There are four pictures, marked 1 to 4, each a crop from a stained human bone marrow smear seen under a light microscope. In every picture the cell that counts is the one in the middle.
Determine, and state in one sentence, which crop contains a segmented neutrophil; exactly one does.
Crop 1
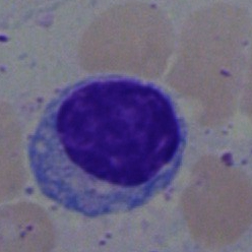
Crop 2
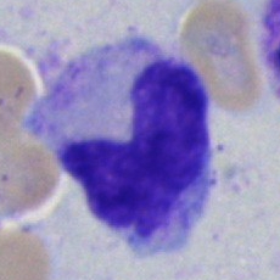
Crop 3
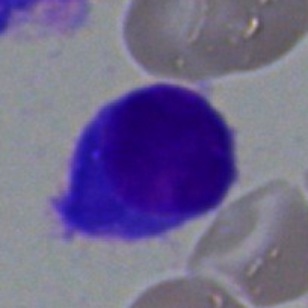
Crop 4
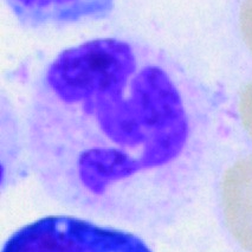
It is crop 4, not any other, that shows a segmented neutrophil.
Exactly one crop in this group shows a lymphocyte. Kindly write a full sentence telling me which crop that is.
On review of the set, crop 1 is the one showing a lymphocyte.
